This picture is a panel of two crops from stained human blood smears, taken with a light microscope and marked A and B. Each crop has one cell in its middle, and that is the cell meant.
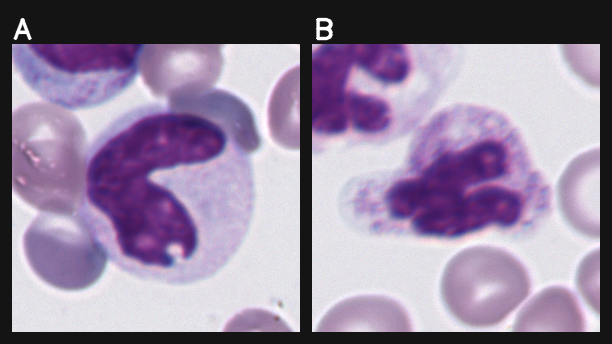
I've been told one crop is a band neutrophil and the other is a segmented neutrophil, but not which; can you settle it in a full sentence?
Recognised in crop A is a band neutrophil, and recognised in crop B is a segmented neutrophil.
